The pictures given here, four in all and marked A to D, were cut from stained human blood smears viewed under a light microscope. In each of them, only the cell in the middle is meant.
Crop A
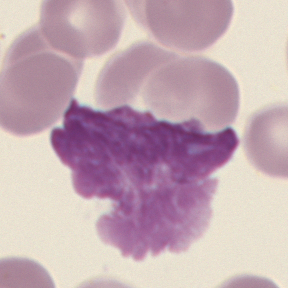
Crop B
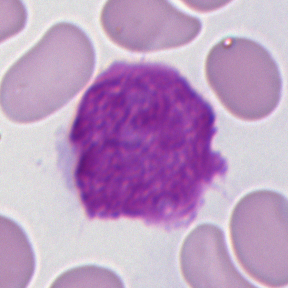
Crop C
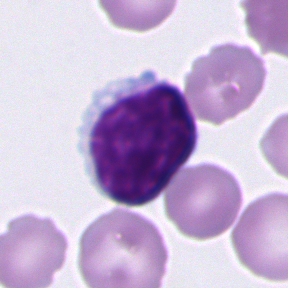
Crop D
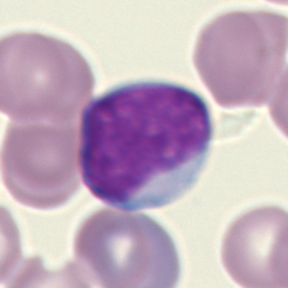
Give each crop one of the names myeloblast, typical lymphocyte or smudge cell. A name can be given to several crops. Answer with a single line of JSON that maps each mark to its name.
{"A": "smudge cell", "B": "smudge cell", "C": "typical lymphocyte", "D": "myeloblast"}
